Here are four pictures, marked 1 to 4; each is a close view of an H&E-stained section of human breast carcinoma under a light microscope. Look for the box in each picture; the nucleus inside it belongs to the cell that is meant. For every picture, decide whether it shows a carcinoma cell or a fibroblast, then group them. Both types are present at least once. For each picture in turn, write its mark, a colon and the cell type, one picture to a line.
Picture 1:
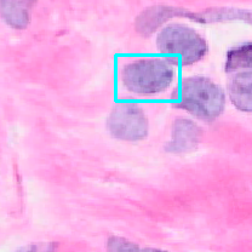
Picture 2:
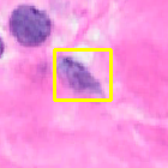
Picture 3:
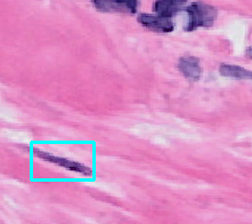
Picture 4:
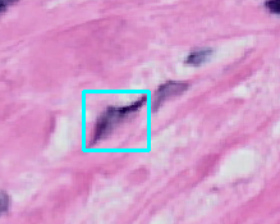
1: carcinoma cell
2: fibroblast
3: fibroblast
4: fibroblast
